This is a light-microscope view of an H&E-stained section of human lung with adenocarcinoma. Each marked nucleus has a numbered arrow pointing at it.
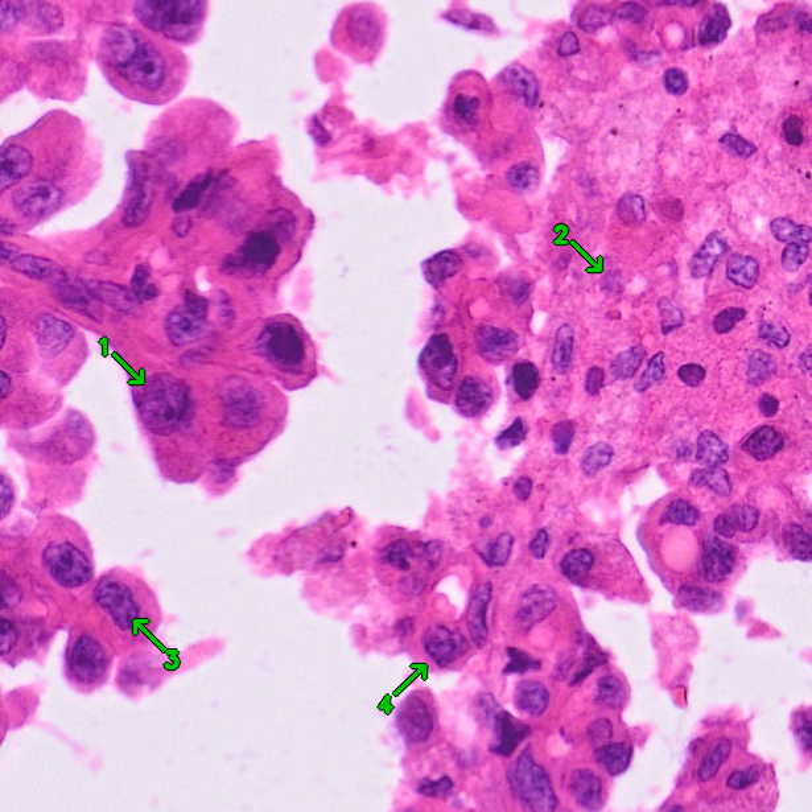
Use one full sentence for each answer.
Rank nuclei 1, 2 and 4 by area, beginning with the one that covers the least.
Smallest first, the nuclei run 2, 4, 1.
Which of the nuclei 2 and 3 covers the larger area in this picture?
Nucleus 3 covers more area, about 3 times as much as nucleus 2.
